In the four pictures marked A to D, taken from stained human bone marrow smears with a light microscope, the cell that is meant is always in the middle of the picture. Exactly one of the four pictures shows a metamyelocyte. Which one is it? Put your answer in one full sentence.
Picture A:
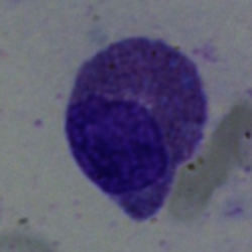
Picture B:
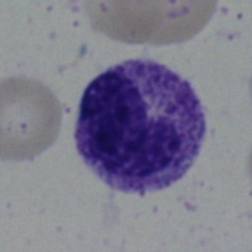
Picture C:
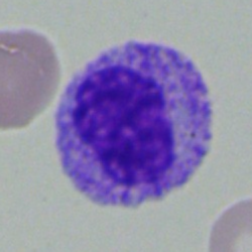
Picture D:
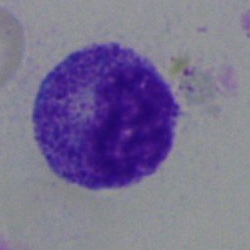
The metamyelocyte is the one in picture B.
